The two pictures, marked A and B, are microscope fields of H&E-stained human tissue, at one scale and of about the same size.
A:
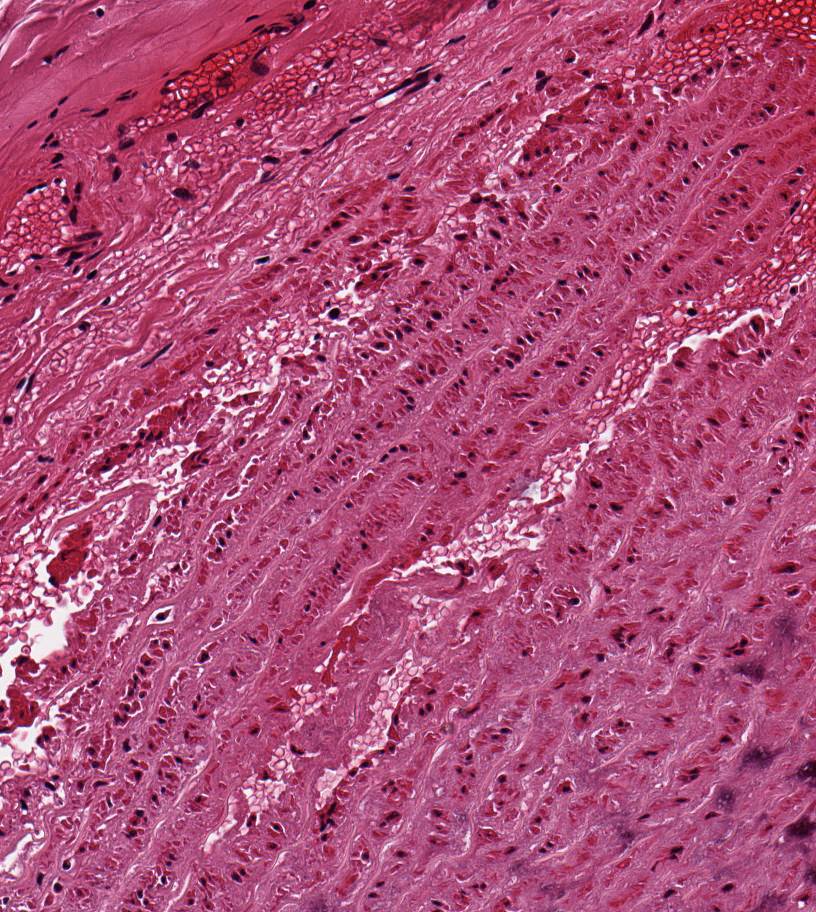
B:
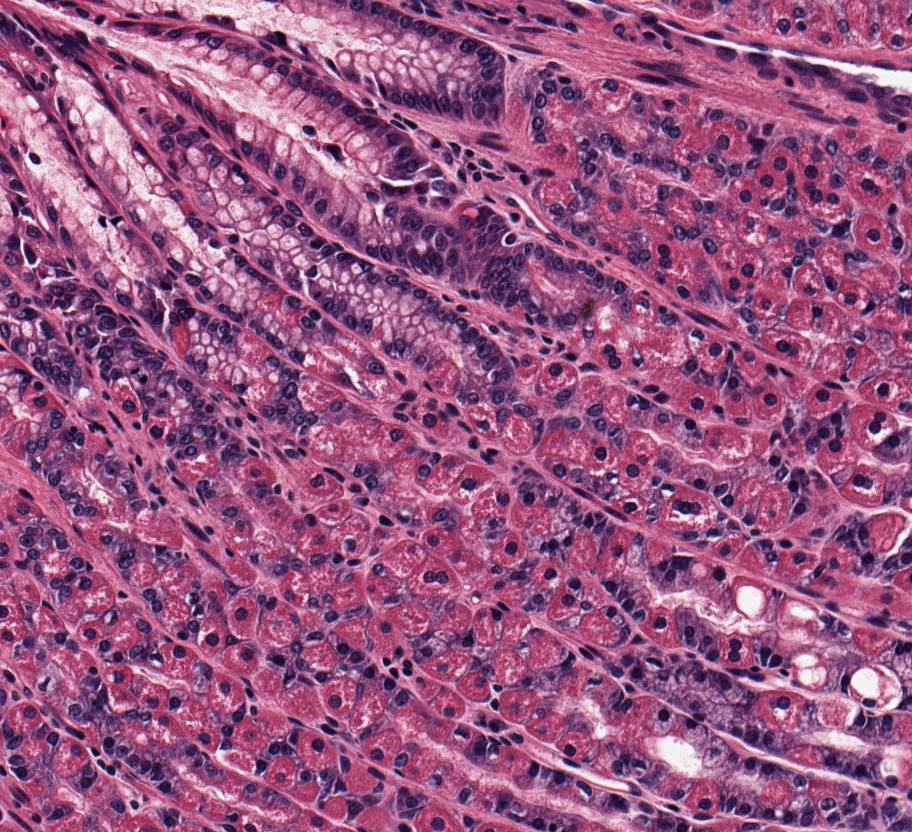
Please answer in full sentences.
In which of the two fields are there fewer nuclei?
There are fewer nuclei in field A.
